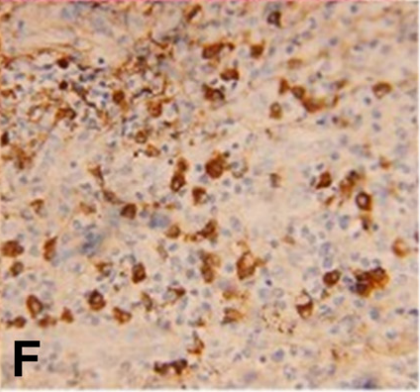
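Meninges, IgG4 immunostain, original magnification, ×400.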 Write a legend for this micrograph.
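Among many cells with pale blue nuclei, numerous round to oval cells stand out with strongly brown cytoplasm. These brown cells are scattered singly and in small clusters, more densely toward the upper left.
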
